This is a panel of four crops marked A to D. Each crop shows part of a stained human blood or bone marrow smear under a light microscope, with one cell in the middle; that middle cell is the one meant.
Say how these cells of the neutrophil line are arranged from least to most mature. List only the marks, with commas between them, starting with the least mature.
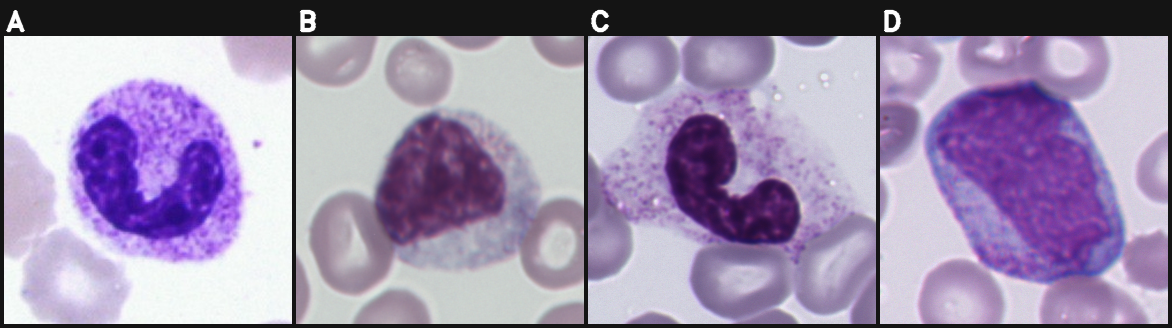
D, B, C, A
